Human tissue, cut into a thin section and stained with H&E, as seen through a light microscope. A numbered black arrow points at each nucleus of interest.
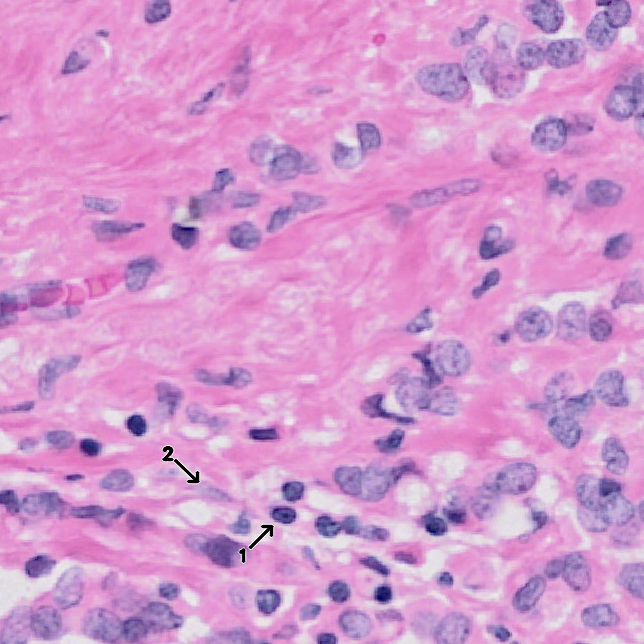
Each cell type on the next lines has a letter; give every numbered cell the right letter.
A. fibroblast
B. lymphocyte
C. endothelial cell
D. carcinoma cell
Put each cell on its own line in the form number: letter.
1: B
2: A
